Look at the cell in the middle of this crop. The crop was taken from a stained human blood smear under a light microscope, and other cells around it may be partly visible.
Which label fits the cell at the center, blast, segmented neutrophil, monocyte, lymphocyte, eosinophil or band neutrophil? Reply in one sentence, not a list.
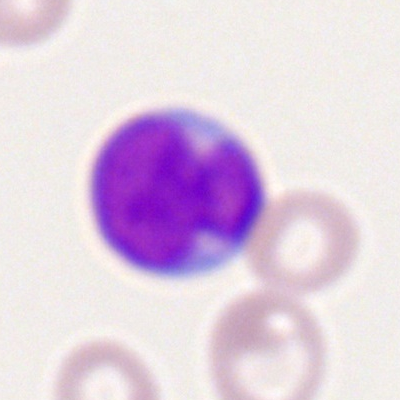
This crop's central cell is a blast.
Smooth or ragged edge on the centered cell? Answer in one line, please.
A smooth, projection-free outline is what this cell has.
